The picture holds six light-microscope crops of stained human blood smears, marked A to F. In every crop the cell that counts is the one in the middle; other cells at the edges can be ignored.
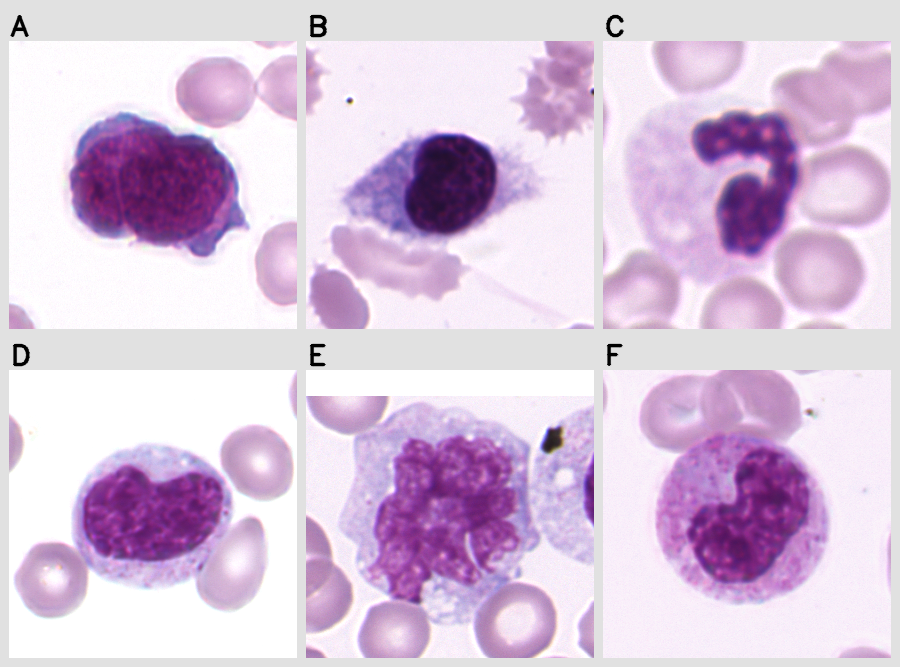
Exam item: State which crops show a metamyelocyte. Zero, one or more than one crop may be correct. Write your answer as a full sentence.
Crops D and F feature metamyelocytes as the cells at their centres.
